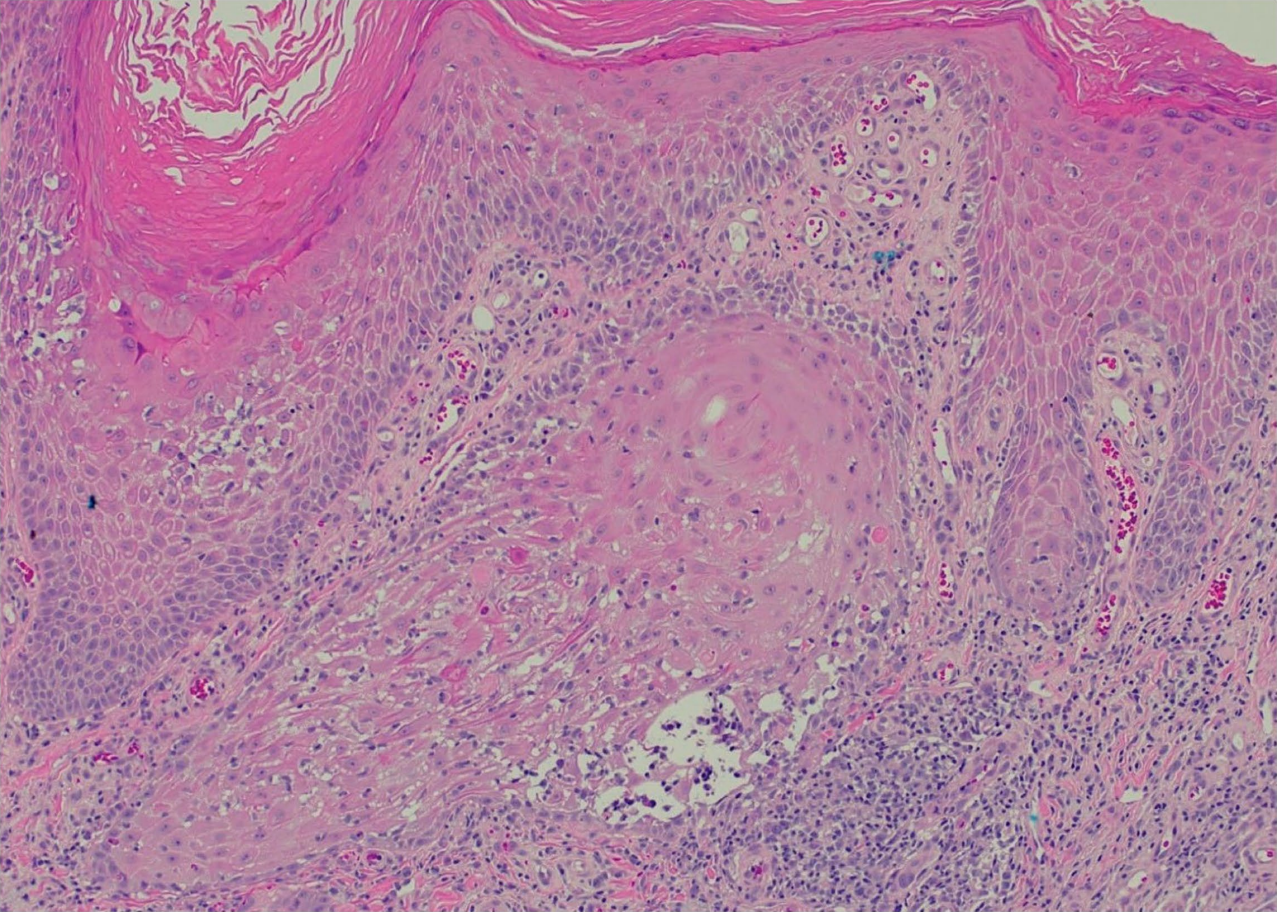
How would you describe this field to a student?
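This is skin stained pink and purple, with a thickened squamous epidermis under a compact pink layer of keratin at the top. In the upper dermis, a dense band of small dark round inflammatory cells, mostly lymphocytes with some histiocytes, hugs the lower edge of the epidermis. There the border between epidermis and dermis is blurred, and the basal cells look disturbed. Scattered among them are a few round, glassy, bright pink bodies without nuclei, which are dead keratinocytes. In the centre there is a whorl of keratinizing cells. Small dilated vessels filled with red blood cells run through the papillary dermis.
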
